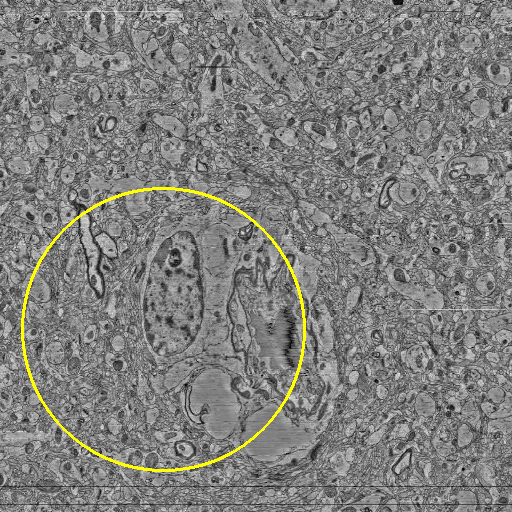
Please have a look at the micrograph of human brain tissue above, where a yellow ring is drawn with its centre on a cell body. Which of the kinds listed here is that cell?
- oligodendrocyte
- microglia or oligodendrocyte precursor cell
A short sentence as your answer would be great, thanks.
At the centre of the ring sits a microglial cell or oligodendrocyte precursor cell.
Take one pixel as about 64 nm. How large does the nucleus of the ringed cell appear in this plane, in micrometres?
About 8 by 4 micrometers; the nucleus is clearly longer than it is wide in this plane.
